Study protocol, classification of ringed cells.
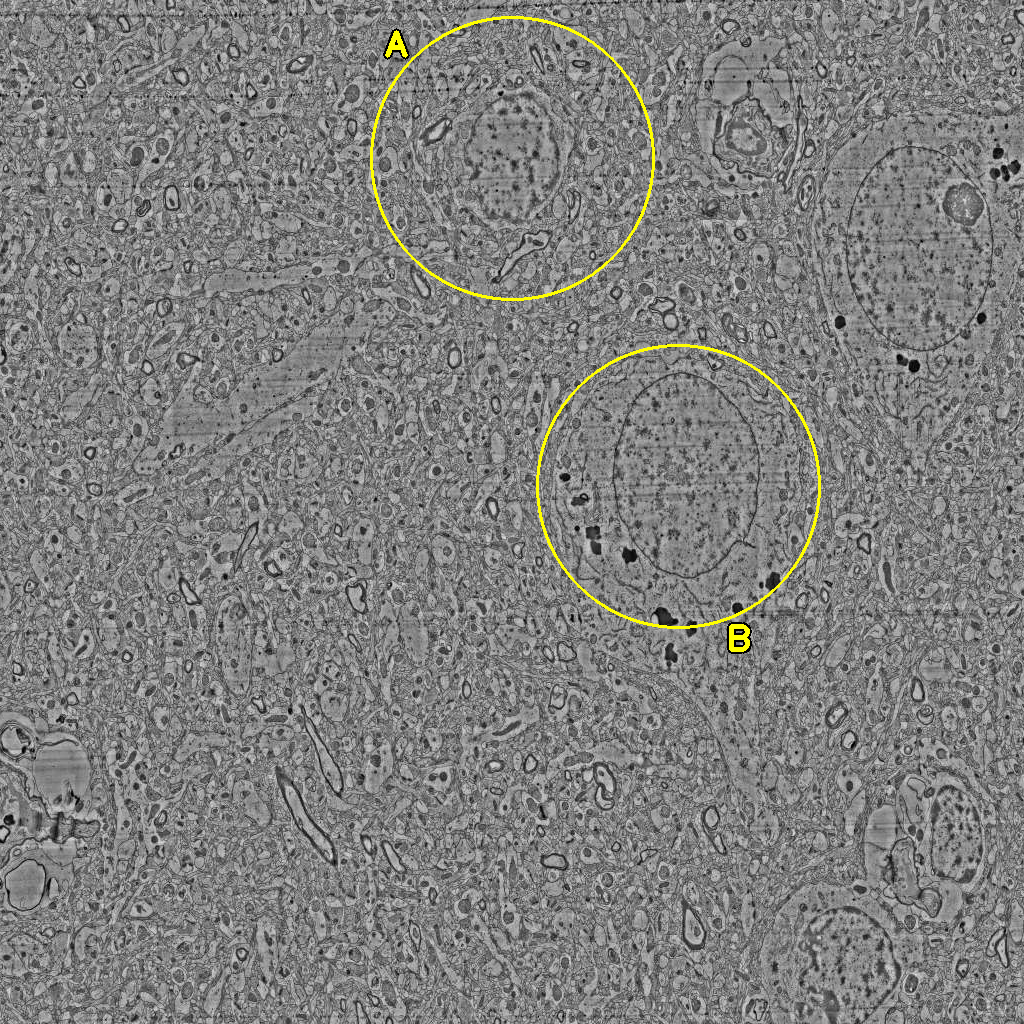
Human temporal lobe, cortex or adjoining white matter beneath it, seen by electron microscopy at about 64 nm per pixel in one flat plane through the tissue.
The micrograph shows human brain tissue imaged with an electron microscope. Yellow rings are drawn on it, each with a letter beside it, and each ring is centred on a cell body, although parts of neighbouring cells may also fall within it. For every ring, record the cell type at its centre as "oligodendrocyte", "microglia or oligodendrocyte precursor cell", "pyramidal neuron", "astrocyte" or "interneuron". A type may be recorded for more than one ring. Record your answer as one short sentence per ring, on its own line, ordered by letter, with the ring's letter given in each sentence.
Ring A has been centred on an interneuron.
Ring B has been centred on a pyramidal neuron.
